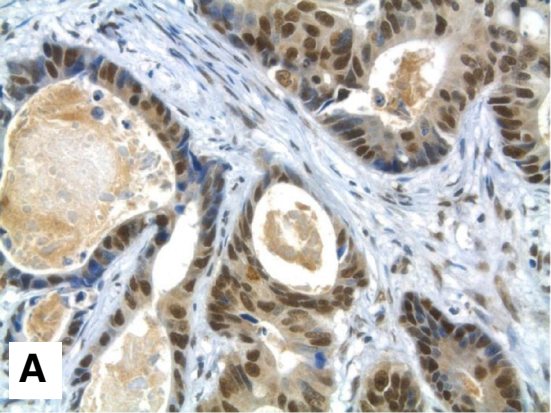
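Tumour cells with tall columnar shape and crowded, oval, stratified nuclei line irregular glands whose lumina hold pale brown debris, with bands of fibrous stroma containing spindle-shaped cells between them. Brown staining is strongest in the tumour cell nuclei, while the cytoplasm is faintly brown, and a few stromal spindle cells also have brown nuclei.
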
